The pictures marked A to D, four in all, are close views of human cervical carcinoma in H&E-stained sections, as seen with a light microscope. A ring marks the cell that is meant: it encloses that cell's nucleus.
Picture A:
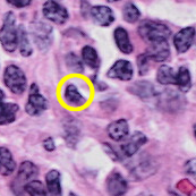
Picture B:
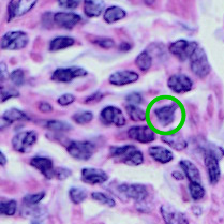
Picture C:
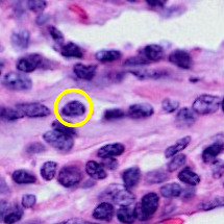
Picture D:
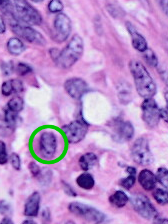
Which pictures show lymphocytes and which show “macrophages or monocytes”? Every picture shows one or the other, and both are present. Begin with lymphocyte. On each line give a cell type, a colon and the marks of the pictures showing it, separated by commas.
lymphocyte: A, B, C
macrophage or monocyte: D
